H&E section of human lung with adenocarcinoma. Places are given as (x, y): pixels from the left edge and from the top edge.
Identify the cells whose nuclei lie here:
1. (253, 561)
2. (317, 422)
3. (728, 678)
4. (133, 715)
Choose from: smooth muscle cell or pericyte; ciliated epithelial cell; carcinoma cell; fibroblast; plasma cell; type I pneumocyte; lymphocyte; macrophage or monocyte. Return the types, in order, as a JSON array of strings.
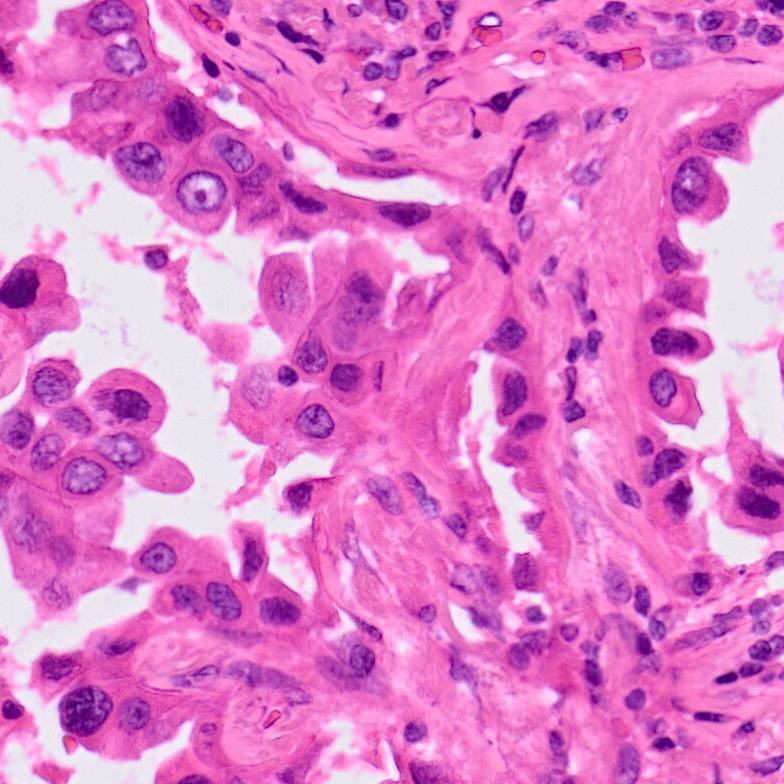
["carcinoma cell", "carcinoma cell", "lymphocyte", "carcinoma cell"]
